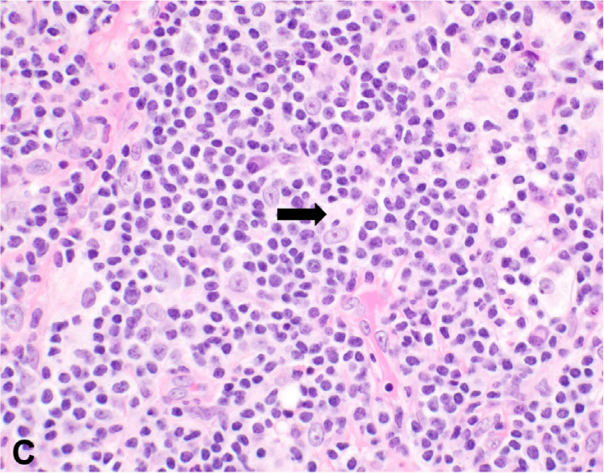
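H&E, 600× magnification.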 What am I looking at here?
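This is a dense inflammatory infiltrate in which large histiocytes lie among many small inflammatory cells. The histiocytes have abundant pale pink, somewhat foamy cytoplasm and large oval nuclei with fine chromatin and visible nucleoli. Around them are numerous small lymphocytes with round, dark nuclei and scant cytoplasm, together with plasma cells with eccentric nuclei and more pink cytoplasm. At the arrow, a histiocyte holds small intact inflammatory cells within its cytoplasm, the picture of emperipolesis. Thin pink strands of collagen and small vessels run between the cells.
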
